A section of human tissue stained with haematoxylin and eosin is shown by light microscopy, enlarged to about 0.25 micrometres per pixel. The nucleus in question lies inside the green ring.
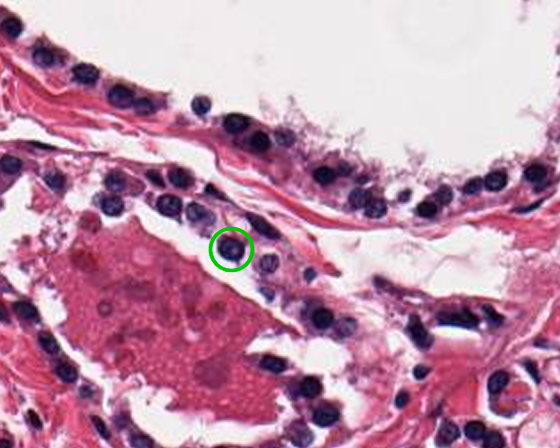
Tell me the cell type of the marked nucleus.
thyroid follicular cell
